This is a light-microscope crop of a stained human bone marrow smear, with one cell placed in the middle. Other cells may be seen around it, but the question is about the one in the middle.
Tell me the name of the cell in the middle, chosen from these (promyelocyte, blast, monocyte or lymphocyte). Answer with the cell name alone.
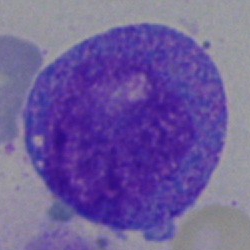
promyelocyte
